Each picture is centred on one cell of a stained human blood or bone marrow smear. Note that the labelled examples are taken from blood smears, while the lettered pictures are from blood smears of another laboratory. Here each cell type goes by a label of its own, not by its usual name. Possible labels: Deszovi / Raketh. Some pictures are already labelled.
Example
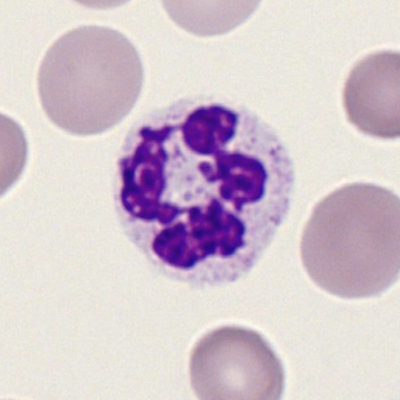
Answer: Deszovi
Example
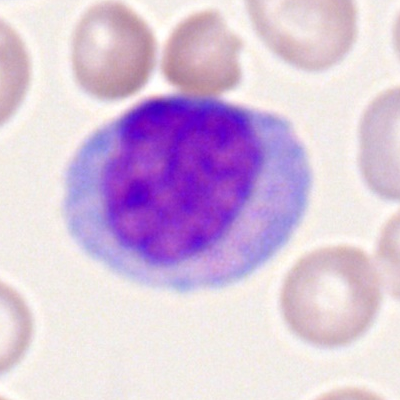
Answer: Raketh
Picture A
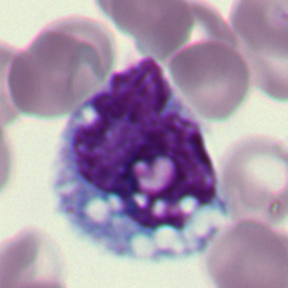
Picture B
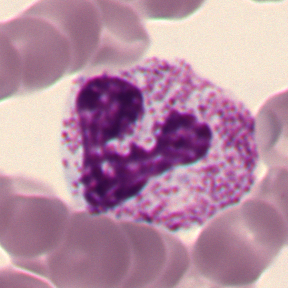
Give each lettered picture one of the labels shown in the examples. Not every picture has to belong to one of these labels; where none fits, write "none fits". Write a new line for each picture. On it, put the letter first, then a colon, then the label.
A: Raketh
B: Deszovi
